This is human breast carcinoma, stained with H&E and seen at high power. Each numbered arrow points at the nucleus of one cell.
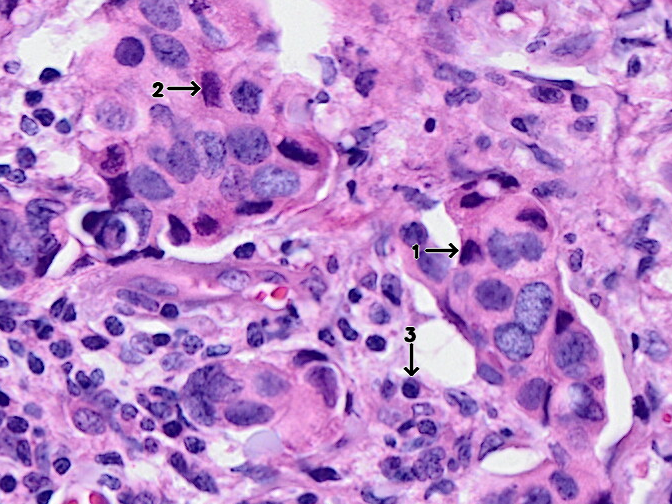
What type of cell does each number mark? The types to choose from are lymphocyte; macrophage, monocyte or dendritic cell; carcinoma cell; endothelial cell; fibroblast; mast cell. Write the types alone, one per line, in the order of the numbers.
carcinoma cell
carcinoma cell
lymphocyte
